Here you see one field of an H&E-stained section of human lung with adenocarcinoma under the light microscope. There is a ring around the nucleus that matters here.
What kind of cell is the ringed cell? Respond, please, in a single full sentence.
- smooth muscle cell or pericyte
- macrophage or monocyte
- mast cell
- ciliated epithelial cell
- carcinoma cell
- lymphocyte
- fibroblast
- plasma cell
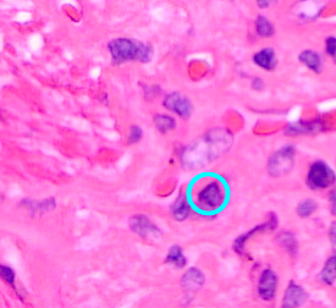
At the level of cell identity, the ringed cell is a plasma cell.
